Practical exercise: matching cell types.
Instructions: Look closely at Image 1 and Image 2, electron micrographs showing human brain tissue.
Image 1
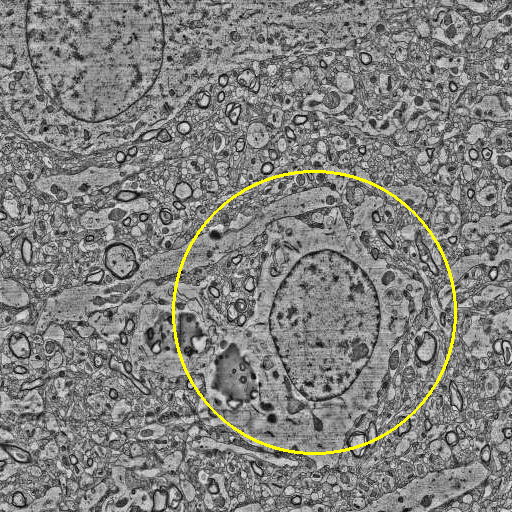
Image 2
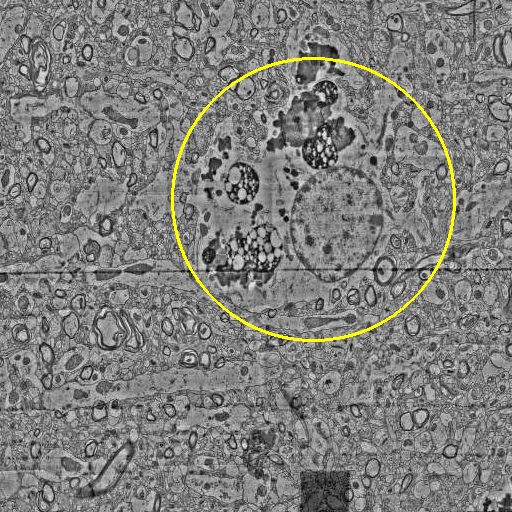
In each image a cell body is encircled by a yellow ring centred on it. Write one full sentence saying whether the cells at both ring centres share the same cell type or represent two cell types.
Across Image 1 and Image 2, the cells at the ring centres share the same cell type.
